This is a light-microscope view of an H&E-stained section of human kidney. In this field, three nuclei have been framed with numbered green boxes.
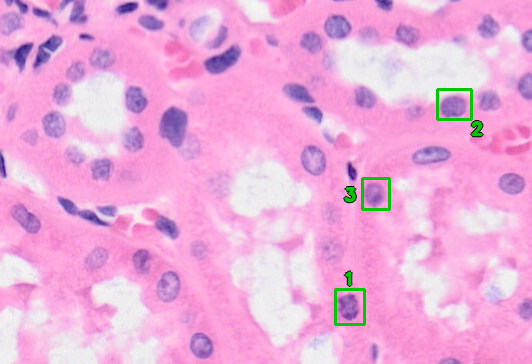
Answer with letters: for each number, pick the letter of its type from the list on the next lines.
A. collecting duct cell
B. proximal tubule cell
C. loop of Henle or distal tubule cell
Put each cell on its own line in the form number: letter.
1: B
2: C
3: B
